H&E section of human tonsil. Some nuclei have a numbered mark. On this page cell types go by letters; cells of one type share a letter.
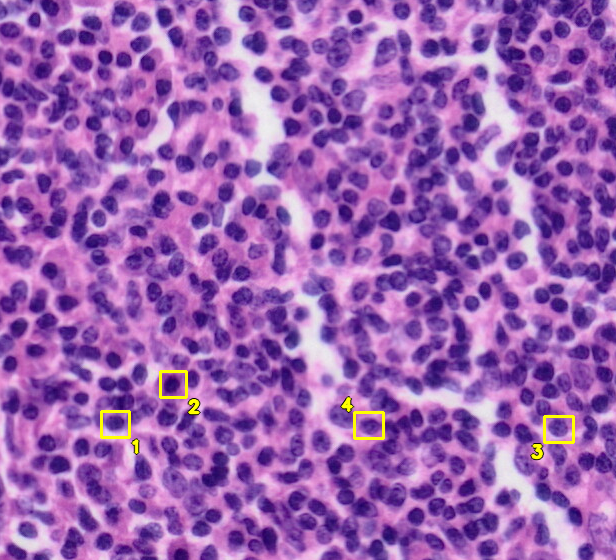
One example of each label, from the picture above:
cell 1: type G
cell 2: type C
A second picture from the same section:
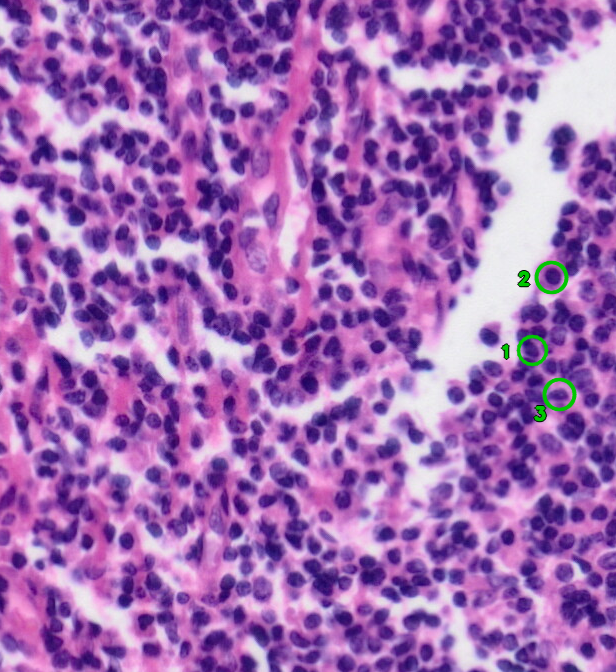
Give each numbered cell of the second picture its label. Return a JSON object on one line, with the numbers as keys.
{"1": "type G", "2": "type C", "3": "type G"}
